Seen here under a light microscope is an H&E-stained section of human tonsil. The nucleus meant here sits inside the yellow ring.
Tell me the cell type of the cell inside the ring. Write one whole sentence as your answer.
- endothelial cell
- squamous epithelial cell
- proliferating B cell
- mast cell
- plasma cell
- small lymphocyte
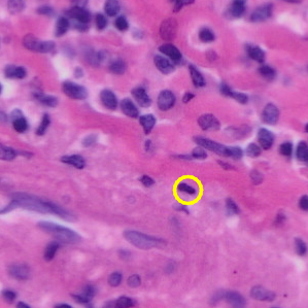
In this field of tissue, the cell inside the ring is a mast cell.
